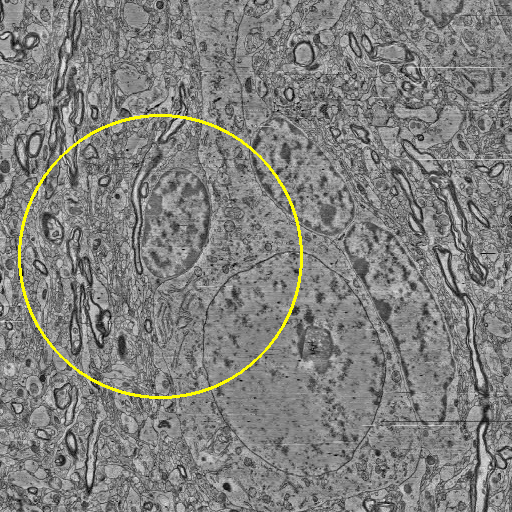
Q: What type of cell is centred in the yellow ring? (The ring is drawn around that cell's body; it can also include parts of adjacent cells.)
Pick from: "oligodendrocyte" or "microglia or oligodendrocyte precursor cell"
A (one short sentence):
The yellow ring is centred on an oligodendrocyte.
